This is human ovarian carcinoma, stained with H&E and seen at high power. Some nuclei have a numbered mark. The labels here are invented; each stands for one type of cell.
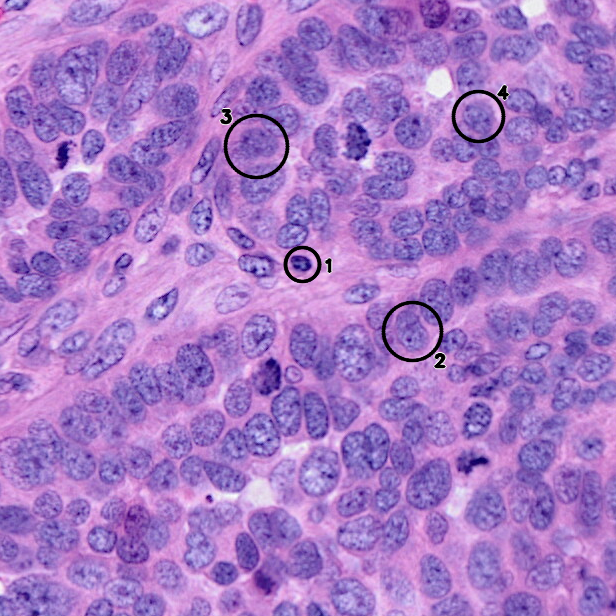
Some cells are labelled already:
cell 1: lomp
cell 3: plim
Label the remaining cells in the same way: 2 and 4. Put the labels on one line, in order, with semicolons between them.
plim; plim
